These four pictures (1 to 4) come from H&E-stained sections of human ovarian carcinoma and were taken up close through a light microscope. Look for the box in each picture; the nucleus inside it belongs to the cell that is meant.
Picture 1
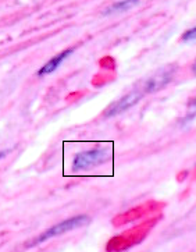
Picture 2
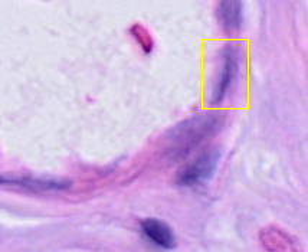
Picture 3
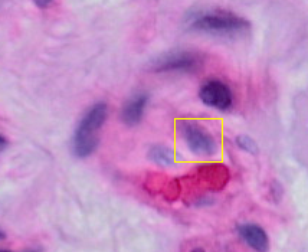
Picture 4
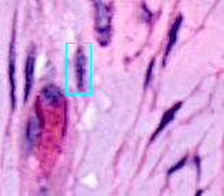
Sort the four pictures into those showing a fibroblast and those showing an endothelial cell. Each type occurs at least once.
1: fibroblast
2: endothelial cell
3: endothelial cell
4: fibroblast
